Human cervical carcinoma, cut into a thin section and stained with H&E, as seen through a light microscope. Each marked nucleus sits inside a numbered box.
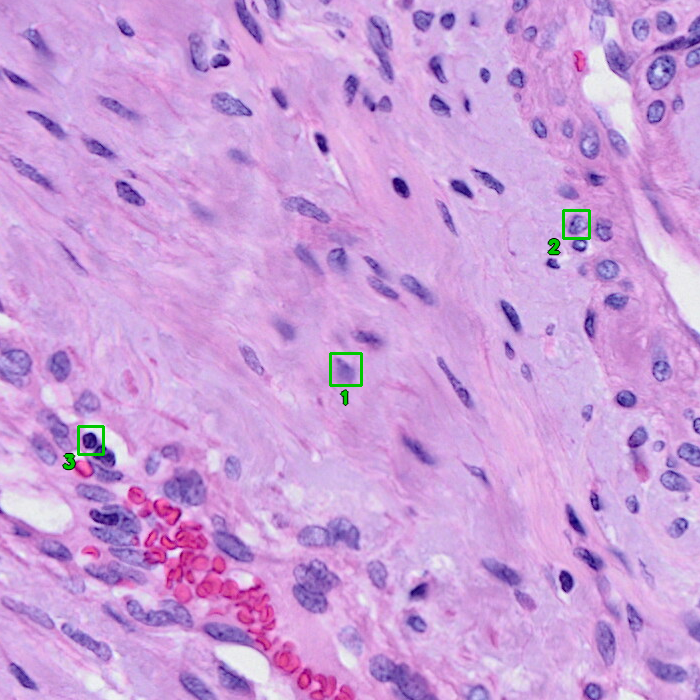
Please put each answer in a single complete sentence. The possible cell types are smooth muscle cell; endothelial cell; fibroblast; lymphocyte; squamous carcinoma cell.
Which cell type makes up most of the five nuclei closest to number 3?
Of the five nuclei nearest to number 3, most belong to endothelial cells.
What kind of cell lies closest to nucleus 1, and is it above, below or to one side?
A smooth muscle cell lies closest, above and to the right of nucleus 1.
